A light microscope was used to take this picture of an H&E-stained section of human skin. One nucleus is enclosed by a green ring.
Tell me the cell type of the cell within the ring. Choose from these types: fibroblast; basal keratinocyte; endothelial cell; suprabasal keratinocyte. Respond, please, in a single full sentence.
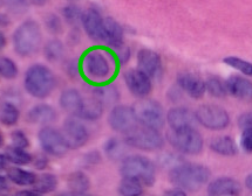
Microscopically, the cell within the ring is categorized as a basal keratinocyte.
